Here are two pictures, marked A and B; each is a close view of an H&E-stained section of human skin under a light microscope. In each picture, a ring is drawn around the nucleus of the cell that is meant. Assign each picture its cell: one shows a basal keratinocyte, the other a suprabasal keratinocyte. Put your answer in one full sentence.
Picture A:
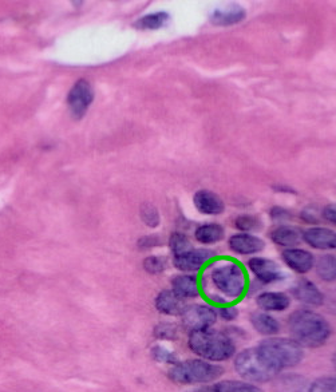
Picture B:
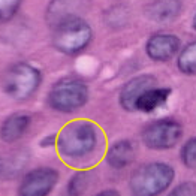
Picture A shows a basal keratinocyte and picture B shows a suprabasal keratinocyte.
